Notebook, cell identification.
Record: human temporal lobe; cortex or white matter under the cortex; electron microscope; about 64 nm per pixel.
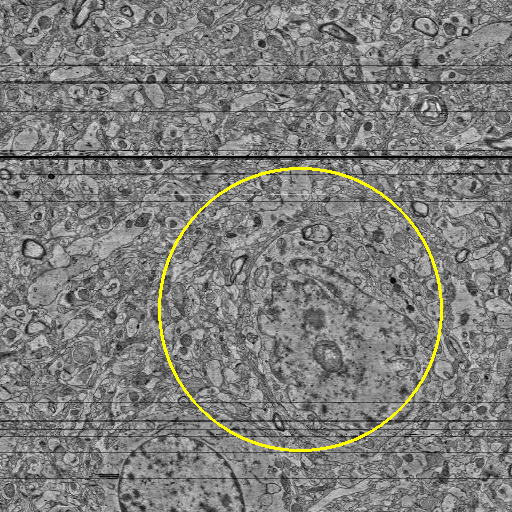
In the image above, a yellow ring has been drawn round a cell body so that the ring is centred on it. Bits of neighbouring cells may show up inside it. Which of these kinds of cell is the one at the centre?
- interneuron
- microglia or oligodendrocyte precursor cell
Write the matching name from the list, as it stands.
interneuron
